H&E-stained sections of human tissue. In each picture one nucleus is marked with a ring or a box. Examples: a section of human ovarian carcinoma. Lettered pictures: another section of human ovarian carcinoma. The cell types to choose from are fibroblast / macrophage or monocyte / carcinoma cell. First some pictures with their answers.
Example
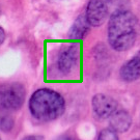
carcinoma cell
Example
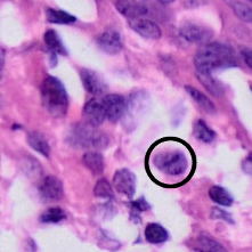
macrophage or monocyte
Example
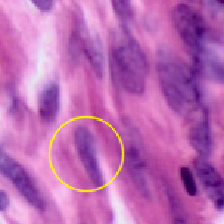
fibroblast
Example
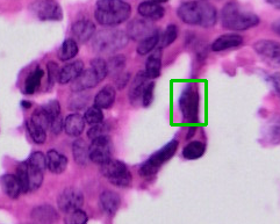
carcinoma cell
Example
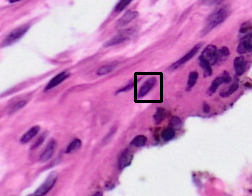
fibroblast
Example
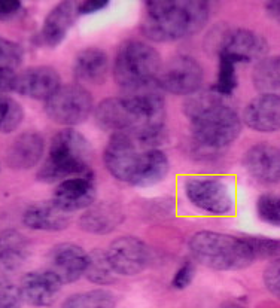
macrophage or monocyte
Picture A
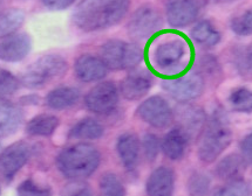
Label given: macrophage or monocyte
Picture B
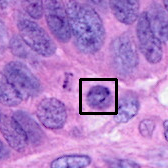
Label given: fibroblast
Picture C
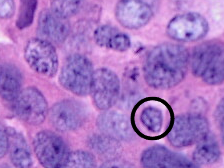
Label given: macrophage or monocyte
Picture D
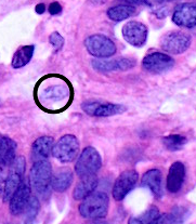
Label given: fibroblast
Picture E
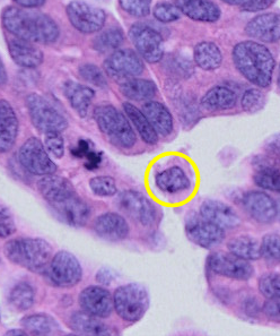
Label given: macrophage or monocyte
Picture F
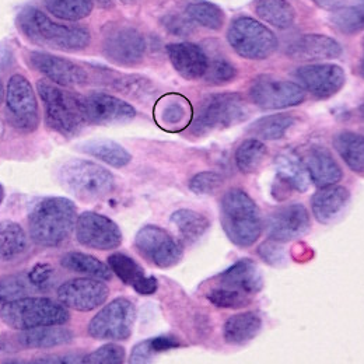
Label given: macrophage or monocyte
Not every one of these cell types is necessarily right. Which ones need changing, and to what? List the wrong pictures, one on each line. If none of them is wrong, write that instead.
B is labelled fibroblast; correct label: macrophage or monocyte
